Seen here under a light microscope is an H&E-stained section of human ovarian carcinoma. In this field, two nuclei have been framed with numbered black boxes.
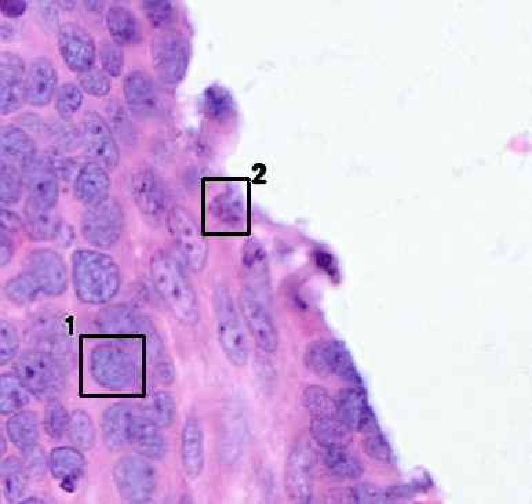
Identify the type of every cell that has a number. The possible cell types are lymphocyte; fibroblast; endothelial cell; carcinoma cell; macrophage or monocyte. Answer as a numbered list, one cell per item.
1. carcinoma cell
2. macrophage or monocyte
